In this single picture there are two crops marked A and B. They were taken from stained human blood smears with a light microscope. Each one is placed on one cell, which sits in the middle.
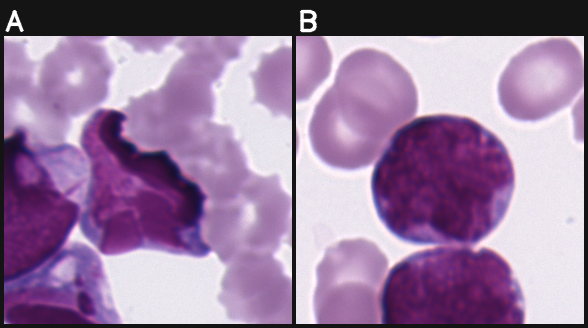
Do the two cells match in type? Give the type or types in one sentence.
Yes, both crops alike show myeloblasts at the centre.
